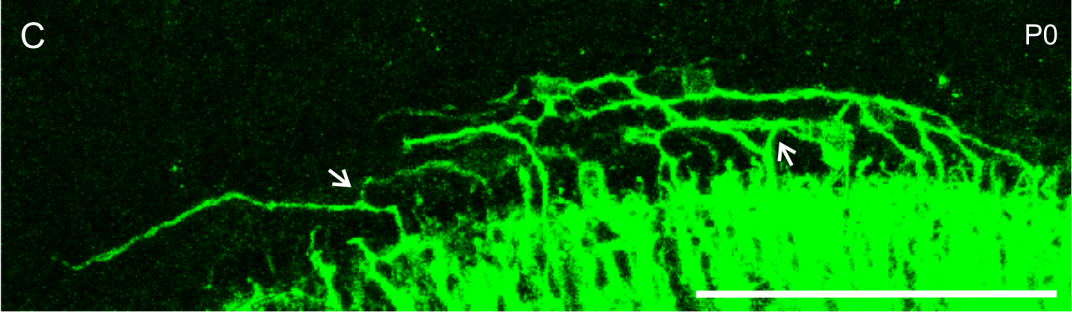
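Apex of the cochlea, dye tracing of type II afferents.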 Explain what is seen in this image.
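Dense radial fibers come up from below, and above them fibers run sideways in a loose, irregular meshwork rather than tidy rows. One fiber extends far out to the left beyond the rest, into unlabeled tissue.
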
